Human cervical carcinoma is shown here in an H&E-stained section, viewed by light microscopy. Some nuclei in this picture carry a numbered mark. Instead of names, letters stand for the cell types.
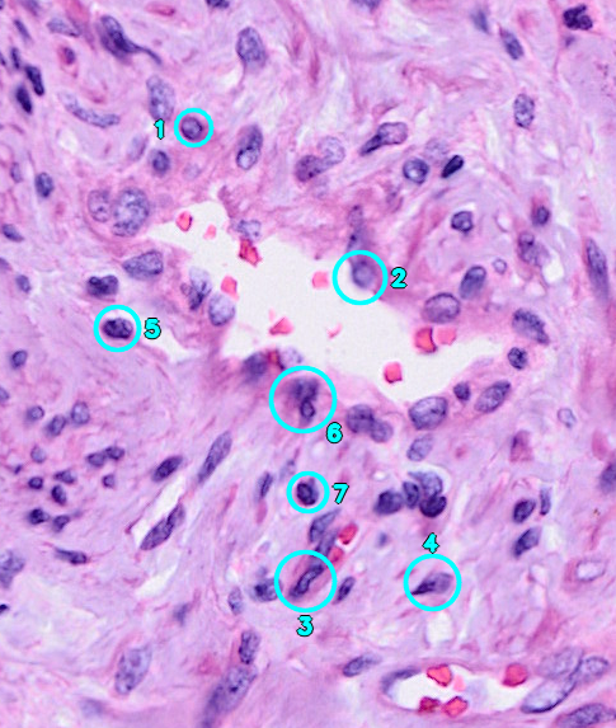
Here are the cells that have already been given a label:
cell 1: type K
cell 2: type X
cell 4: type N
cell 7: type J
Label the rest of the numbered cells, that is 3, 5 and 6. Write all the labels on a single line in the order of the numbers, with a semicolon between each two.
type X; type J; type X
